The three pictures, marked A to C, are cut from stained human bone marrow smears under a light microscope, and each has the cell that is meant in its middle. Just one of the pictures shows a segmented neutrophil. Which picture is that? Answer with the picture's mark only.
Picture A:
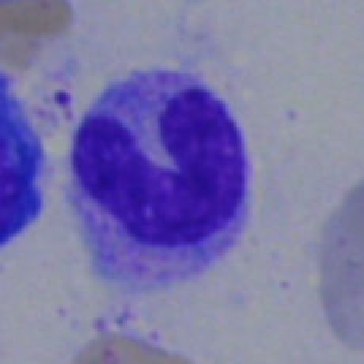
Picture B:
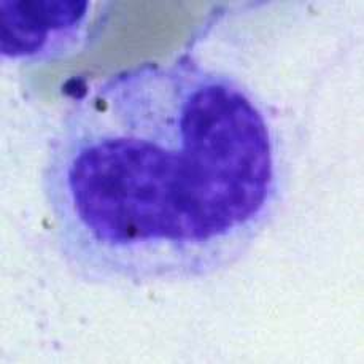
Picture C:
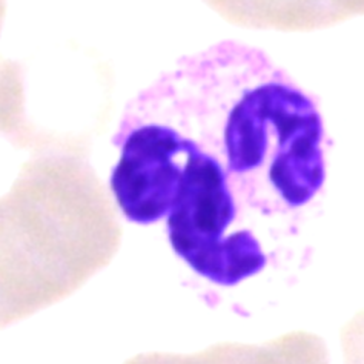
C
